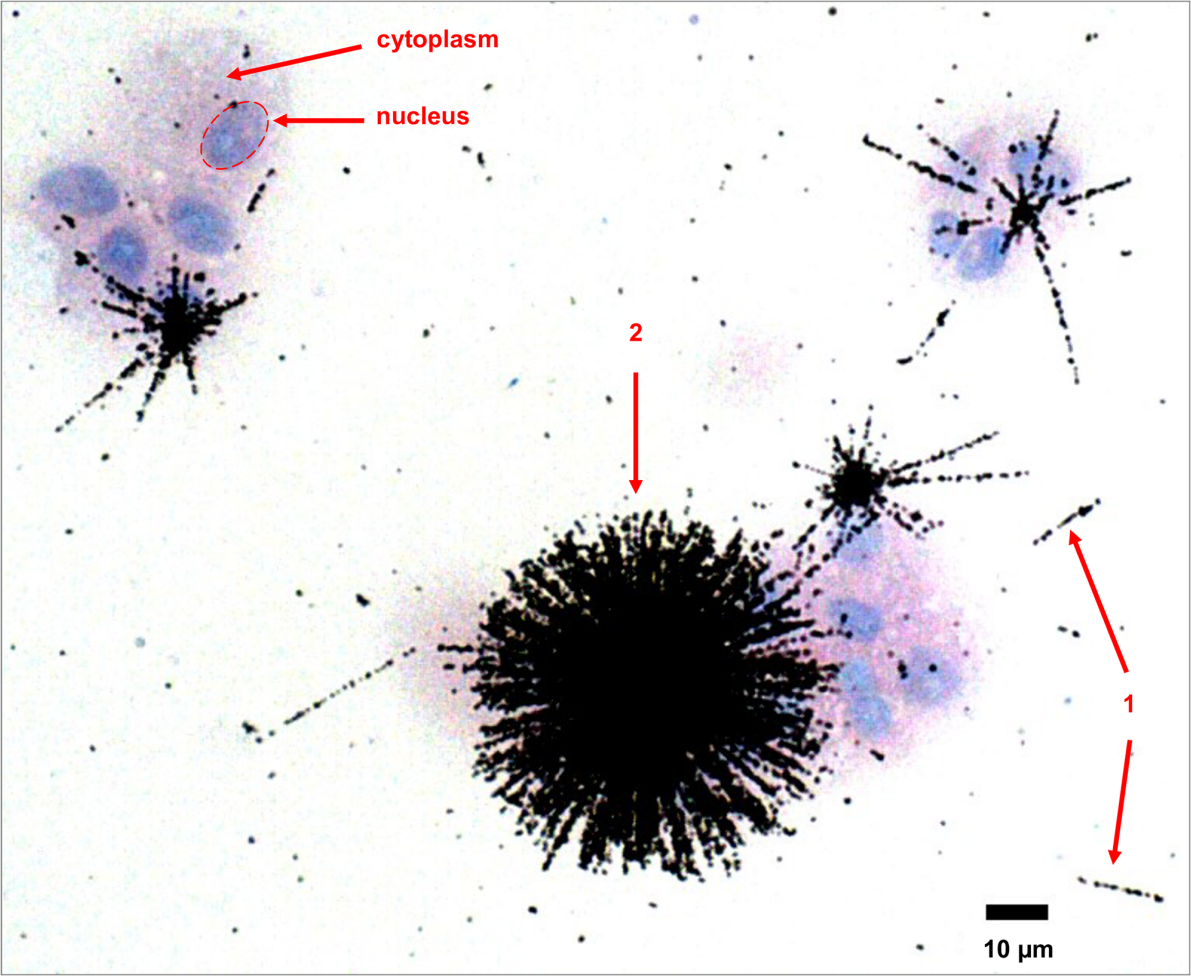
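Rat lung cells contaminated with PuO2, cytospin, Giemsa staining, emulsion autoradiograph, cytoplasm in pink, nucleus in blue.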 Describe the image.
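Several groups of tracks radiate from a single centre to form stars, one very large and dense beside a cluster of cells and smaller ones over or near other cell groups. Short isolated straight tracks are scattered singly across the background.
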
